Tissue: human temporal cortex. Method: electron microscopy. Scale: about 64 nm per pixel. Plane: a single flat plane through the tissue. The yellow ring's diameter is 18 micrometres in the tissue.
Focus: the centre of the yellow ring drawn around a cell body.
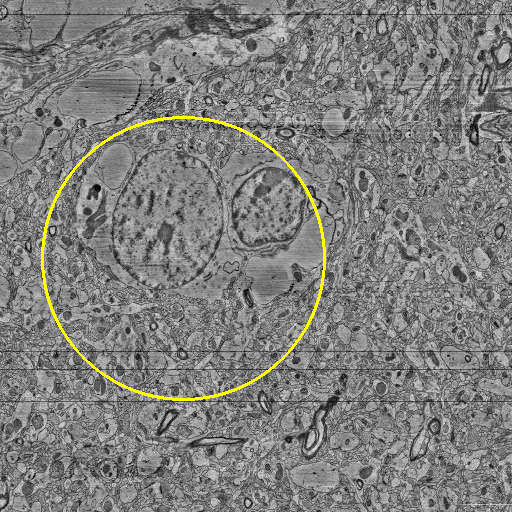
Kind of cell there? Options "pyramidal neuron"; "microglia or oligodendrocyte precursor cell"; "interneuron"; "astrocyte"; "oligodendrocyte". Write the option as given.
astrocyte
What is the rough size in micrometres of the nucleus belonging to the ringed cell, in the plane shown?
About 9 micrometres by about 7 micrometres in this plane.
